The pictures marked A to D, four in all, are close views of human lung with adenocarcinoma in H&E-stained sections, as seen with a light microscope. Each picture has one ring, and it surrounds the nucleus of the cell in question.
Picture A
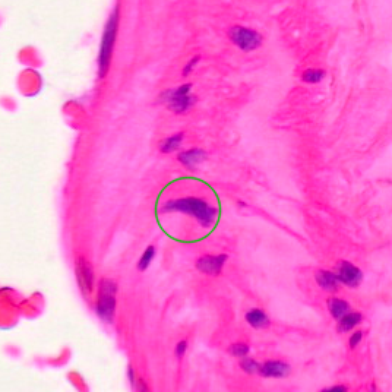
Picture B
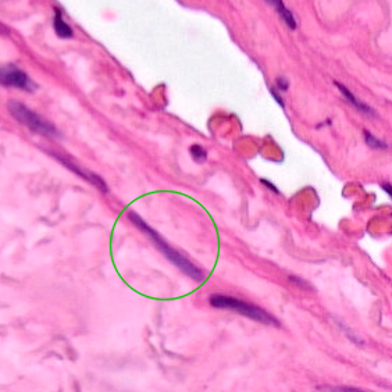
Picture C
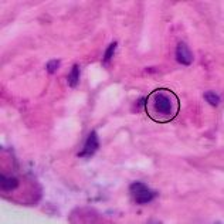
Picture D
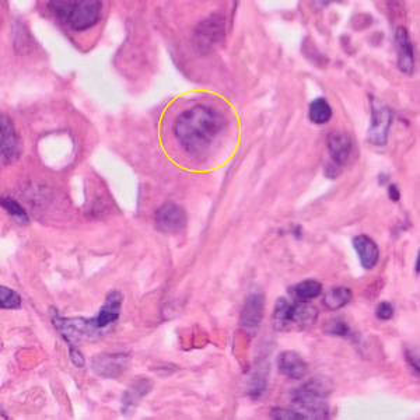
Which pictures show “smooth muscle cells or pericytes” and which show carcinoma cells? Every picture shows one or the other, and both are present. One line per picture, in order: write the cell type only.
smooth muscle cell or pericyte
smooth muscle cell or pericyte
smooth muscle cell or pericyte
carcinoma cell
